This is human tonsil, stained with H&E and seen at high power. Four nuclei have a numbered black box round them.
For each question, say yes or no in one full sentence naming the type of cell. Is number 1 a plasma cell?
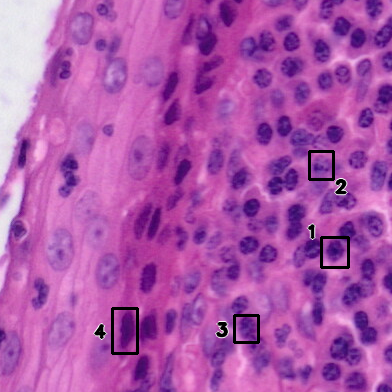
Yes, the cell marked with number 1 is a plasma cell.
